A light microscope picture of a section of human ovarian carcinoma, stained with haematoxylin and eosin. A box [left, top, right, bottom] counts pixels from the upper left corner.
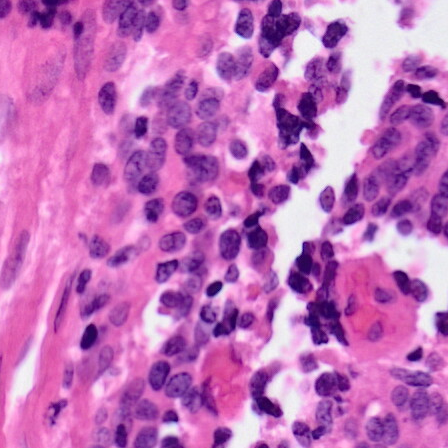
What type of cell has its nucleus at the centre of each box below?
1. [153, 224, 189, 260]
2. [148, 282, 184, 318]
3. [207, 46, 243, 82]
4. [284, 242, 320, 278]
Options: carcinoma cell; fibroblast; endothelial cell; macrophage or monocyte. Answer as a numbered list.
1. macrophage or monocyte
2. carcinoma cell
3. carcinoma cell
4. carcinoma cell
